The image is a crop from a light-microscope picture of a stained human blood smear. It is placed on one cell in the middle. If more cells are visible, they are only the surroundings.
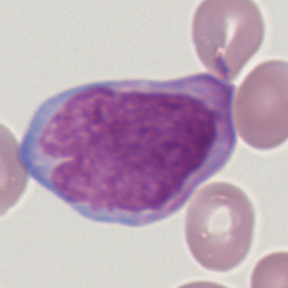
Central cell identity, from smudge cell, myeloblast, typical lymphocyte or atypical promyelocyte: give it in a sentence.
For this crop, the central cell is an atypical promyelocyte.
